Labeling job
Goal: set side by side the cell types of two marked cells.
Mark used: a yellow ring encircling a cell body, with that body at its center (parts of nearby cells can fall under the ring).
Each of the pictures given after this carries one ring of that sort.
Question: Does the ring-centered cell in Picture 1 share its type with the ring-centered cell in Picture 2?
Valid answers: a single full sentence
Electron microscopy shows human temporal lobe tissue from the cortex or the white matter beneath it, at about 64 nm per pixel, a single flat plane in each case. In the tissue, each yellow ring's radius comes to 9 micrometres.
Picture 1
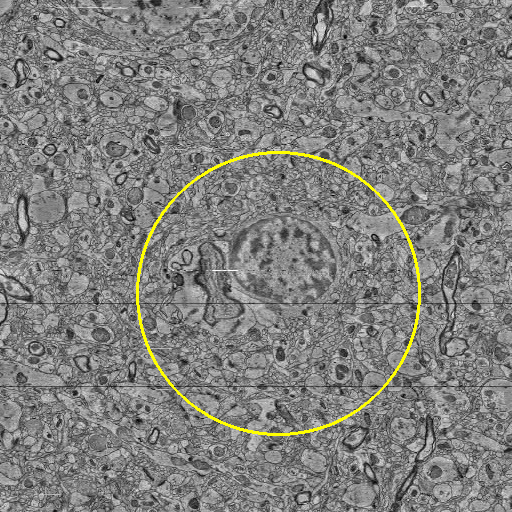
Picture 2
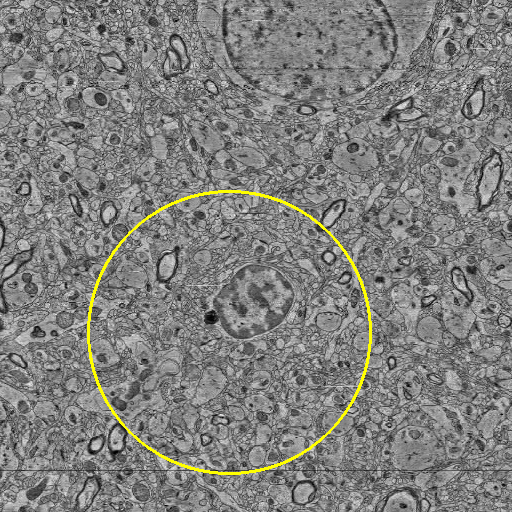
No, in Pictures 1 and 2 the cells at the ring centers have separate types.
